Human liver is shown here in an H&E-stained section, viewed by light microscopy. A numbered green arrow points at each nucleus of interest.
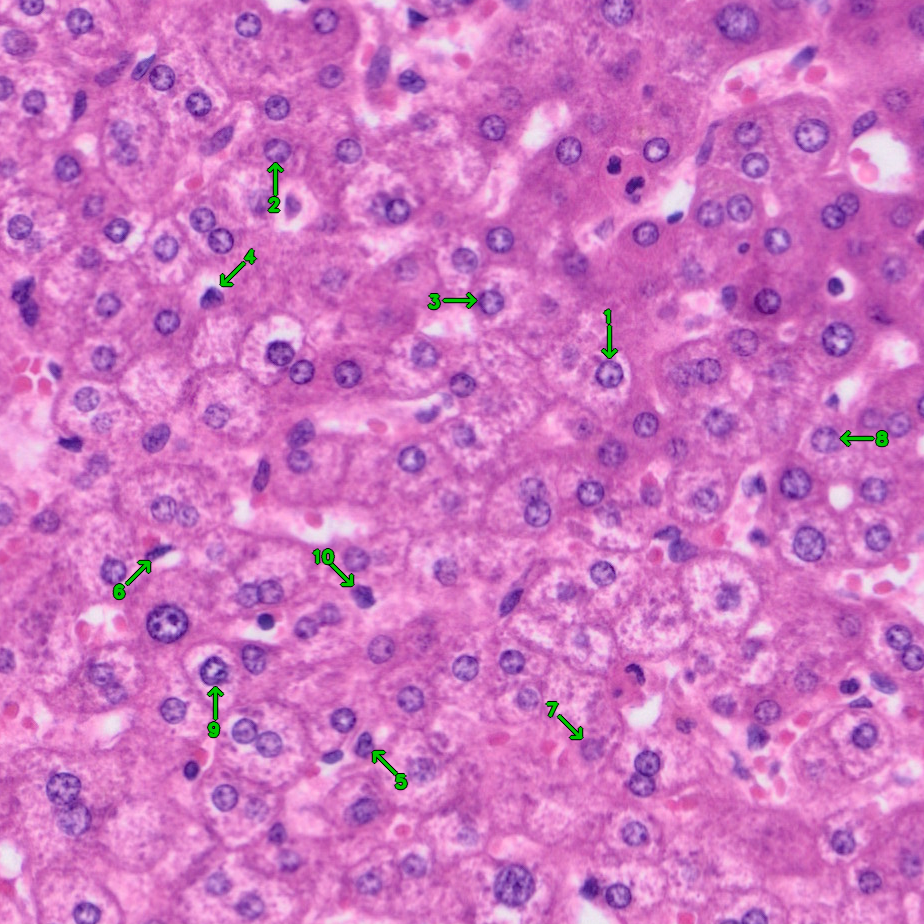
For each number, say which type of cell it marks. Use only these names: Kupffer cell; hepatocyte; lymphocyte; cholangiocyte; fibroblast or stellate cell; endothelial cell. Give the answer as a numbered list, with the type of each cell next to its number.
1. hepatocyte
2. hepatocyte
3. hepatocyte
4. endothelial cell
5. Kupffer cell
6. endothelial cell
7. hepatocyte
8. hepatocyte
9. hepatocyte
10. endothelial cell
